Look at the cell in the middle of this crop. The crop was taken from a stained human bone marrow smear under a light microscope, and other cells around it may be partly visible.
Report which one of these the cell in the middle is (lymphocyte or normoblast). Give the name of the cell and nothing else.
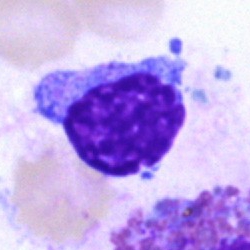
lymphocyte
